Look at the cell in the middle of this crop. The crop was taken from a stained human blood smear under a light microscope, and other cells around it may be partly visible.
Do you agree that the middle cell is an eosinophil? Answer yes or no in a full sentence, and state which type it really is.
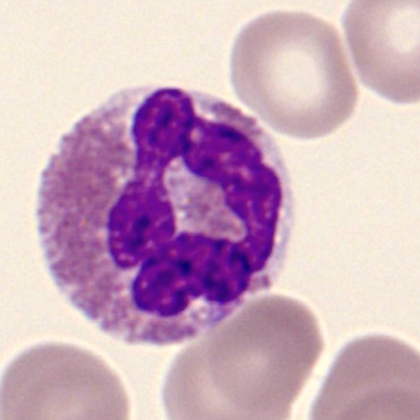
Yes, the cell in the middle of this smear crop is an eosinophil.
